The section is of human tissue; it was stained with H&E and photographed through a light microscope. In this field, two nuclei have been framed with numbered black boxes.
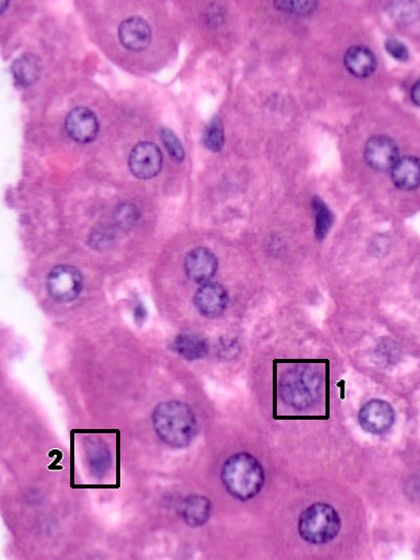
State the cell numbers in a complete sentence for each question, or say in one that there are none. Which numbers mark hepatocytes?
Of those with numbers, only cell 1 is a hepatocyte.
